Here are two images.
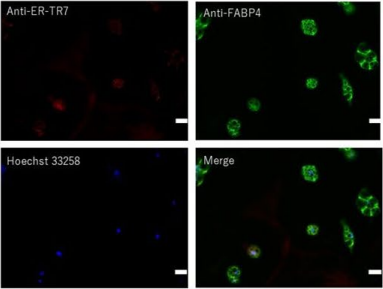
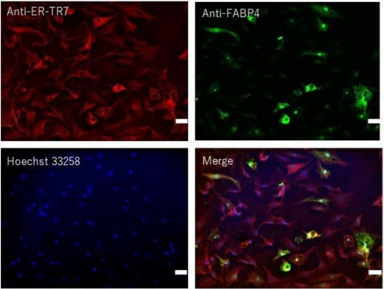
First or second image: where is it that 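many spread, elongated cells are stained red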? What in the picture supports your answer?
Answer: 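First image: red channel is mostly dark with only a few faint red spots. Second image: red channel shows many spread, elongated and branched cells brightly stained. The answer: the second image.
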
